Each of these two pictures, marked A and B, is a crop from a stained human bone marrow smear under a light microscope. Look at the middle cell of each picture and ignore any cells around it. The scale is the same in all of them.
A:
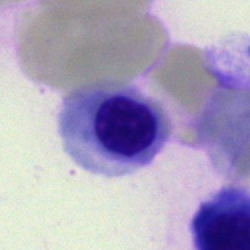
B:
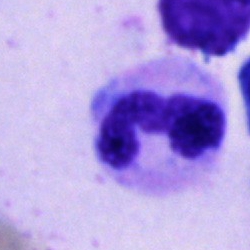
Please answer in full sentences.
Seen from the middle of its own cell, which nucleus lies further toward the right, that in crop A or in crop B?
It is the nucleus in crop A that lies further toward the right of its cell.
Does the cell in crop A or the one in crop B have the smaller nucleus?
Crop A shows the smaller nucleus, since that in crop B covers about 2 times as much area.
